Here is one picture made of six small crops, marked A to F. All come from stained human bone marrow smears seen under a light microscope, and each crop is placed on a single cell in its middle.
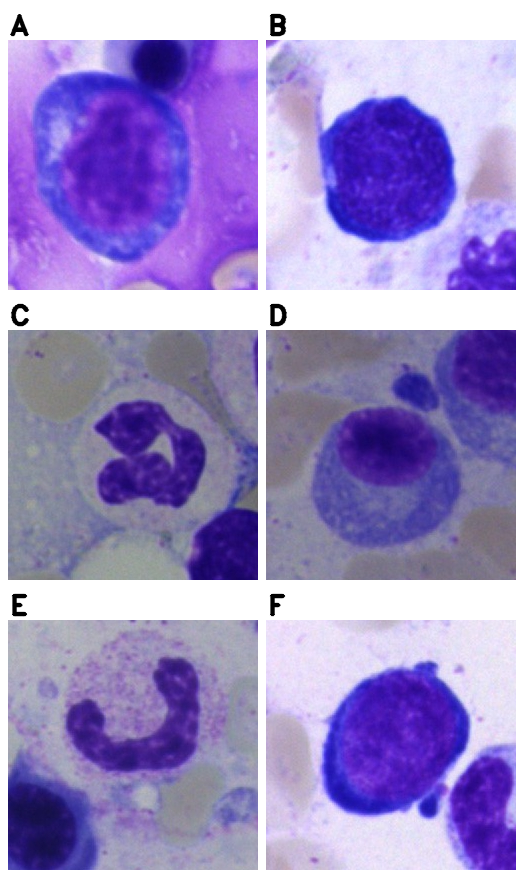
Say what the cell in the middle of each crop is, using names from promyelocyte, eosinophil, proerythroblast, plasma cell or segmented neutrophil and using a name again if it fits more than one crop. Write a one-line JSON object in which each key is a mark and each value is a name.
{"A": "proerythroblast", "B": "proerythroblast", "C": "segmented neutrophil", "D": "plasma cell", "E": "segmented neutrophil", "F": "proerythroblast"}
